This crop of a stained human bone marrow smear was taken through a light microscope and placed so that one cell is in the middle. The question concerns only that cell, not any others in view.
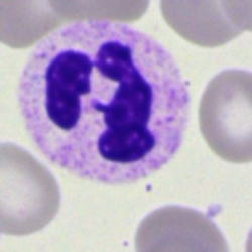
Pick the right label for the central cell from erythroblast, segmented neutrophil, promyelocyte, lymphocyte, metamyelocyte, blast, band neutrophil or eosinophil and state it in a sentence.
Classification of the middle cell gives a segmented neutrophil.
